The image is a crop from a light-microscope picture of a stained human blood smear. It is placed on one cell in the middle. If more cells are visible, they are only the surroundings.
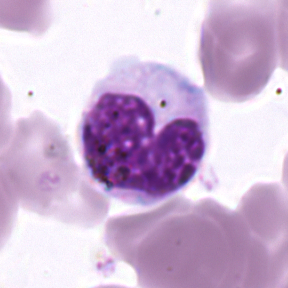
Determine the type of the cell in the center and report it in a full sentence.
In the crop, the cell of interest at the centre is a band neutrophil.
